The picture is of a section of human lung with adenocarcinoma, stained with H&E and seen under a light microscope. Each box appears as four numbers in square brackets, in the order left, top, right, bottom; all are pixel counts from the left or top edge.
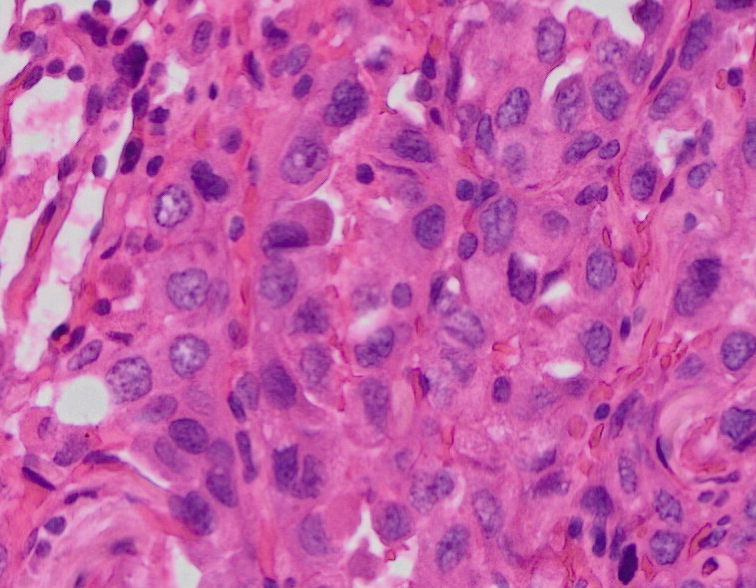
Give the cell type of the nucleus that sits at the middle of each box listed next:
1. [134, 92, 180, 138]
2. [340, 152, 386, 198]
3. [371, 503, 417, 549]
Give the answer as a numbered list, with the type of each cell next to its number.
1. lymphocyte
2. lymphocyte
3. carcinoma cell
